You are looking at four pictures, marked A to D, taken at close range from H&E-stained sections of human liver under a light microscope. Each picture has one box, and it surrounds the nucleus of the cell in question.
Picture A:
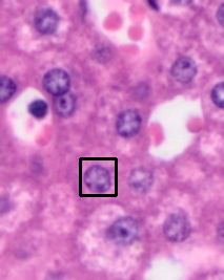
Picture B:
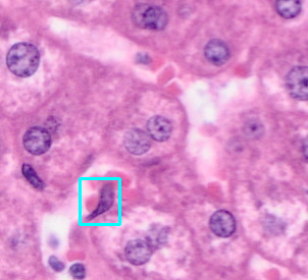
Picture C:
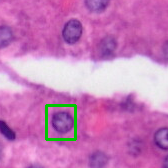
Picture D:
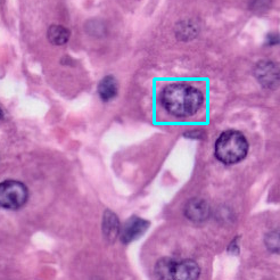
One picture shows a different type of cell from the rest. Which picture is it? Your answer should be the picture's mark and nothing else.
B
